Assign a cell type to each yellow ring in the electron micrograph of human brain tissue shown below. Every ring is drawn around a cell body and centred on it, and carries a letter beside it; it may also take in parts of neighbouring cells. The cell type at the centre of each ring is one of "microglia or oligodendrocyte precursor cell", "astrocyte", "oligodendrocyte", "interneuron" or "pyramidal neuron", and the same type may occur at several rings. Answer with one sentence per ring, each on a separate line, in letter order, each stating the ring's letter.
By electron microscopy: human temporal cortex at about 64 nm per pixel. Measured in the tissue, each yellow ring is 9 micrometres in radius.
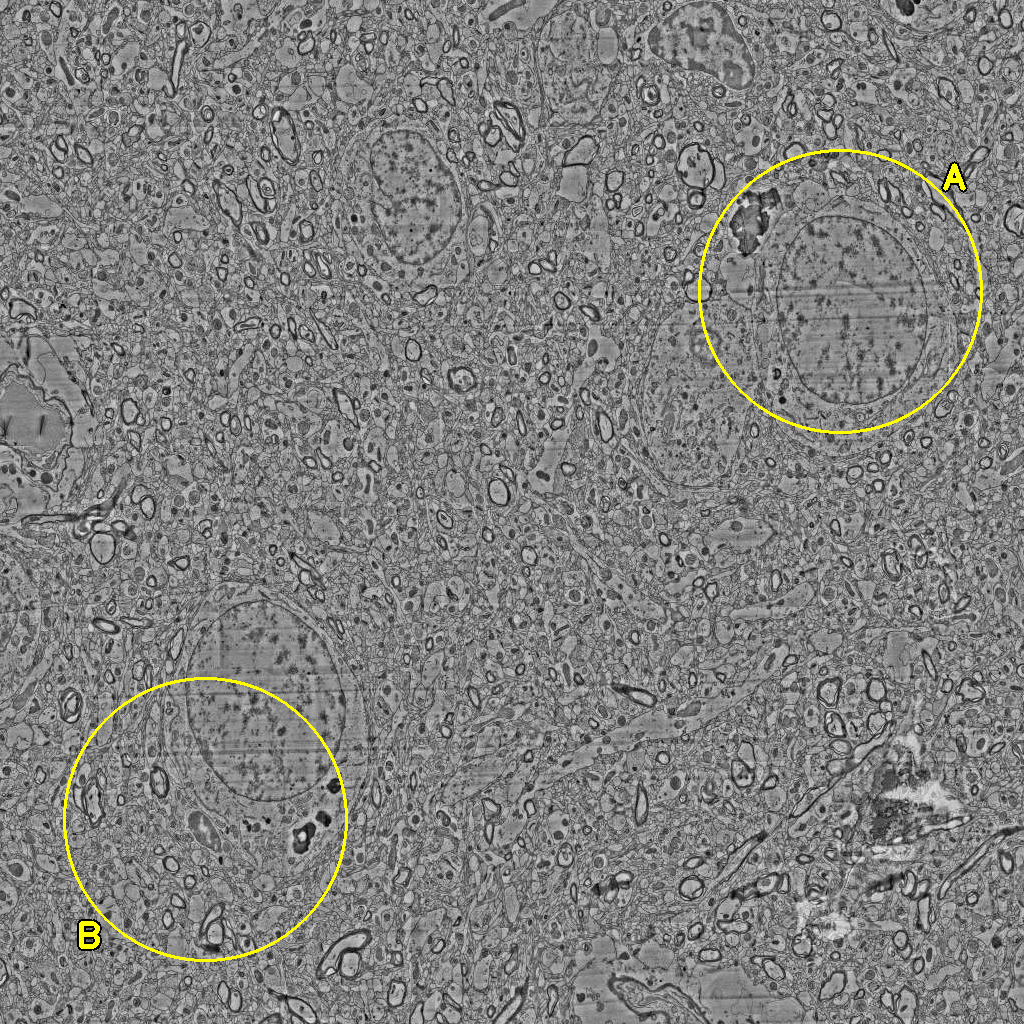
The cell at ring A's centre is a pyramidal neuron.
The cell at ring B's centre is a microglial cell or oligodendrocyte precursor cell.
